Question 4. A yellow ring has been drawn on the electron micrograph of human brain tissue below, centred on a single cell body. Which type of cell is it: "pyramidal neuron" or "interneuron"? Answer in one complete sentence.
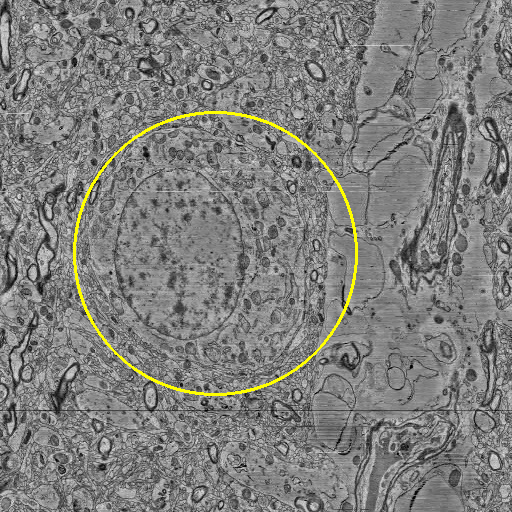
This cell body belongs to an interneuron.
